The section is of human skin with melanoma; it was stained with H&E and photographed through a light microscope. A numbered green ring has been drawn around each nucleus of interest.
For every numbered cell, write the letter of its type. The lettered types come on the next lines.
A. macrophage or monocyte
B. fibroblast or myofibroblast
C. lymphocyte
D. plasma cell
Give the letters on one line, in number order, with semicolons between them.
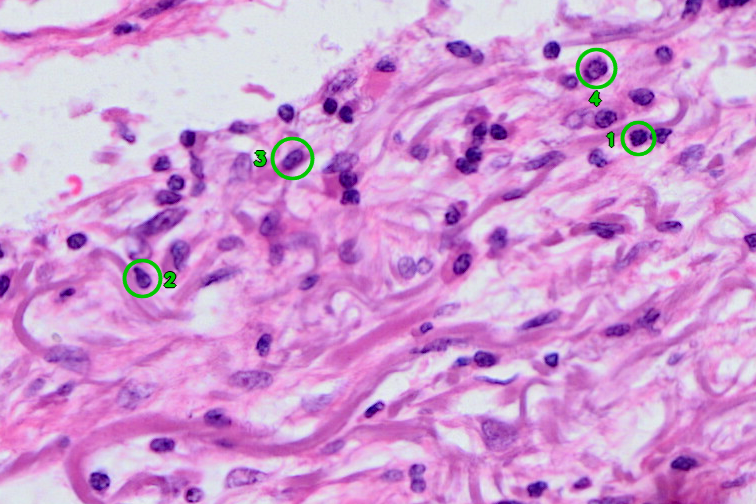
D; C; D; D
